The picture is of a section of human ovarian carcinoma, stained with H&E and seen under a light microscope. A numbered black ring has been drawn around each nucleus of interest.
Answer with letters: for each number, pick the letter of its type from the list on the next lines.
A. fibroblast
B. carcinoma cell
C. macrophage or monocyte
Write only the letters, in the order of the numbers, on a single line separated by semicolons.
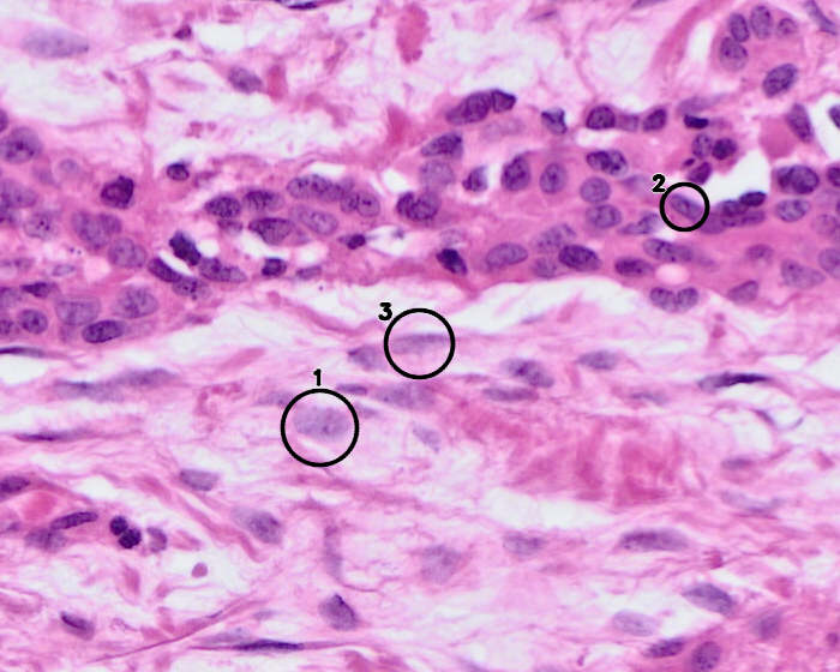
A; B; A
